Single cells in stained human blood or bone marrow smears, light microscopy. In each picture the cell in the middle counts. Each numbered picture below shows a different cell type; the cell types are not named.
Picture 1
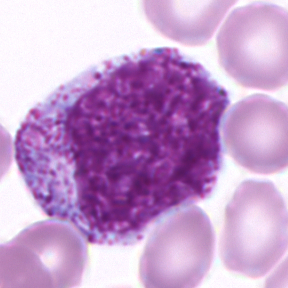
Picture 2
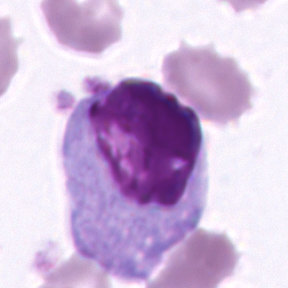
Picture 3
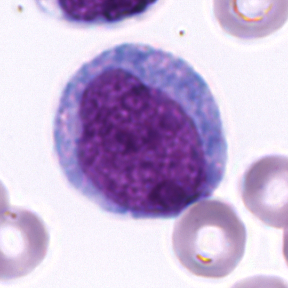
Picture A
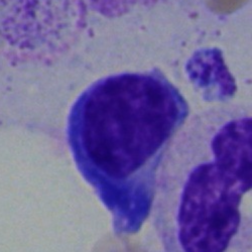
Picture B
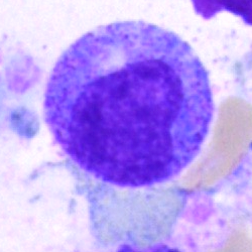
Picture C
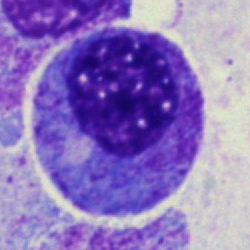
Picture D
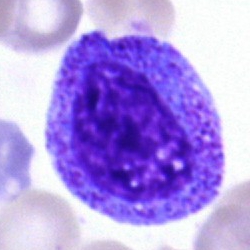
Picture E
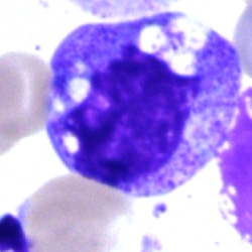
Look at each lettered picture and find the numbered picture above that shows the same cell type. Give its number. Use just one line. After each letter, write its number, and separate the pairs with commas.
A 2, B 3, C 3, D 3, E 3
